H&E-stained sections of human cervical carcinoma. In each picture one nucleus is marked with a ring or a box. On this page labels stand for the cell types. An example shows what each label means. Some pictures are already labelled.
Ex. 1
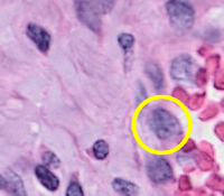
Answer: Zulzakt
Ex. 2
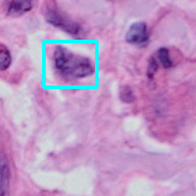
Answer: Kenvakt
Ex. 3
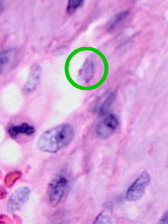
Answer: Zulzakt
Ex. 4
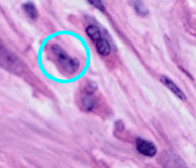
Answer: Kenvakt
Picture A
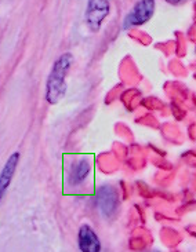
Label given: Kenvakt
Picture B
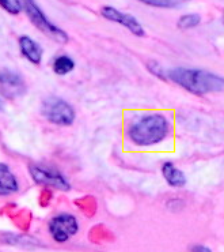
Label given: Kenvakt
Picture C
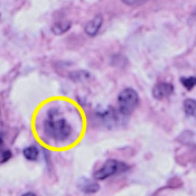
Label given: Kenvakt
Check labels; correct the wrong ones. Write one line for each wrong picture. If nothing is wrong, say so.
A is labelled Kenvakt; correct label: Zulzakt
